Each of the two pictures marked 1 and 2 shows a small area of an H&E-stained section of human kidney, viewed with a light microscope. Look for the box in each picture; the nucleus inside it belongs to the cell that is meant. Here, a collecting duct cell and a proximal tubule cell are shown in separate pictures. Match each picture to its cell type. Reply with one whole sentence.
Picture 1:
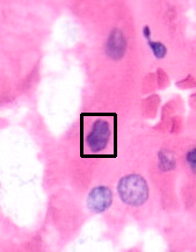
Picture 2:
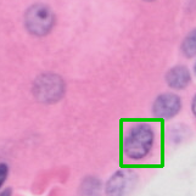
The cell in picture 1 is a proximal tubule cell, and the one in picture 2 is a collecting duct cell.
